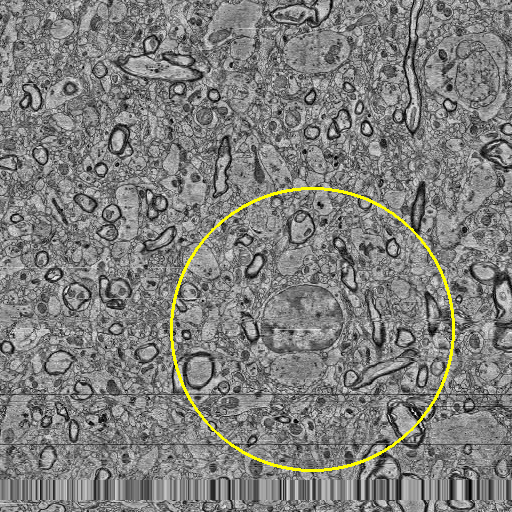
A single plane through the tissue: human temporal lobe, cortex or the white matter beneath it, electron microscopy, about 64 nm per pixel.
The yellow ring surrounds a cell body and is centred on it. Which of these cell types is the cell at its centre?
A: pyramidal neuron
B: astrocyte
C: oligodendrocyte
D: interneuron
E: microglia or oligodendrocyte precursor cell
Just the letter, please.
E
